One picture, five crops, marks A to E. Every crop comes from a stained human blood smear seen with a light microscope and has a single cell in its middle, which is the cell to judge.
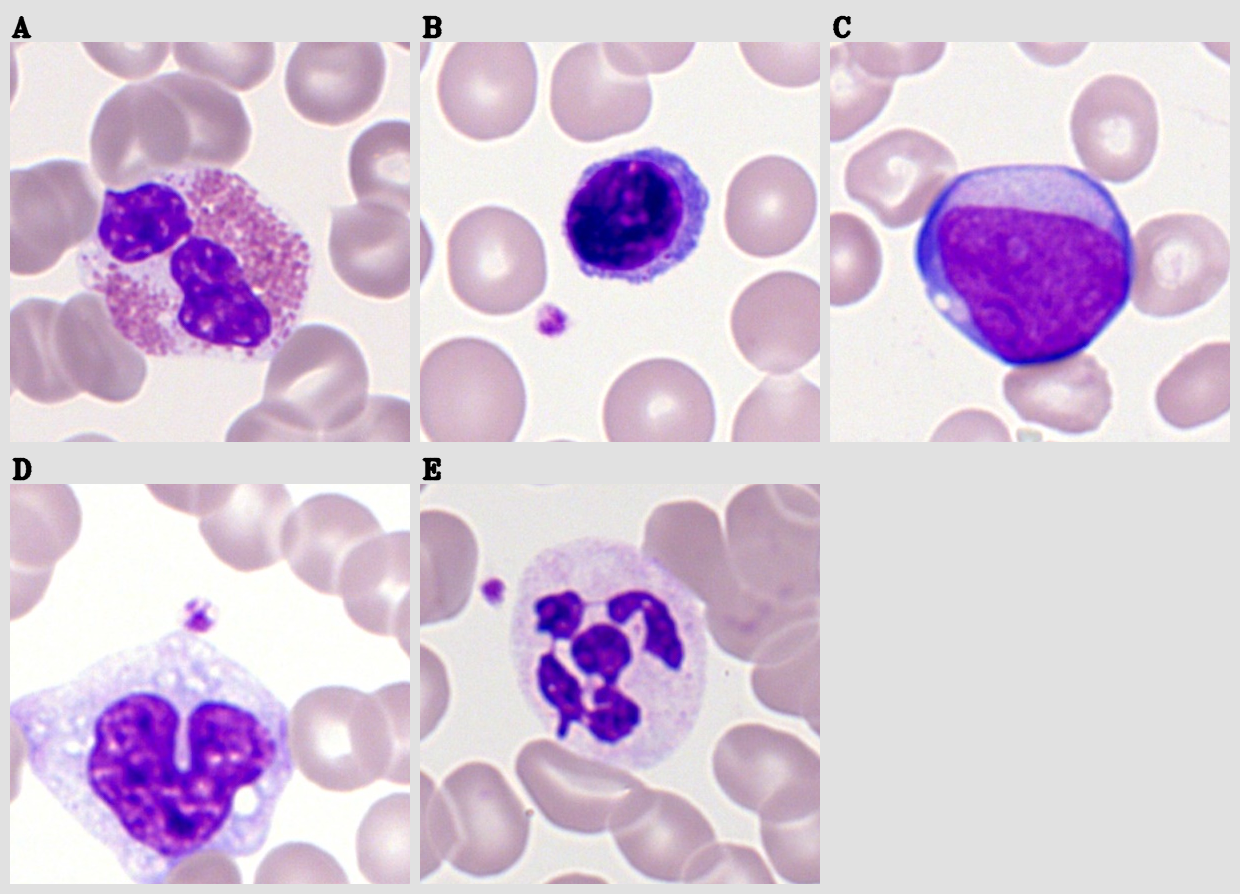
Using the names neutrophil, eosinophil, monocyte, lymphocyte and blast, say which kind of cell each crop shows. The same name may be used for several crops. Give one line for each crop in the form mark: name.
A: eosinophil
B: lymphocyte
C: blast
D: monocyte
E: neutrophil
